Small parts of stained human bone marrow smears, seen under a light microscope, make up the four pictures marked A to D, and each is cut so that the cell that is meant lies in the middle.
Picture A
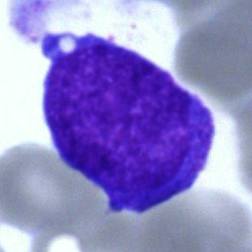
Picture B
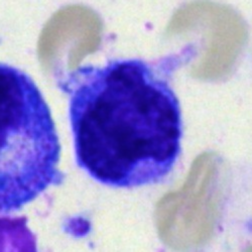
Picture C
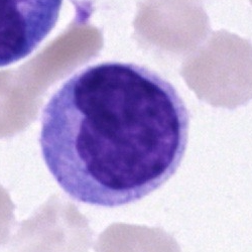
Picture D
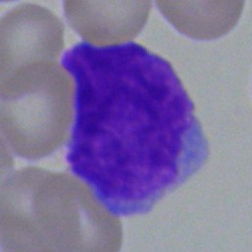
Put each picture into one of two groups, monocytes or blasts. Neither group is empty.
A: blast
B: monocyte
C: monocyte
D: blast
